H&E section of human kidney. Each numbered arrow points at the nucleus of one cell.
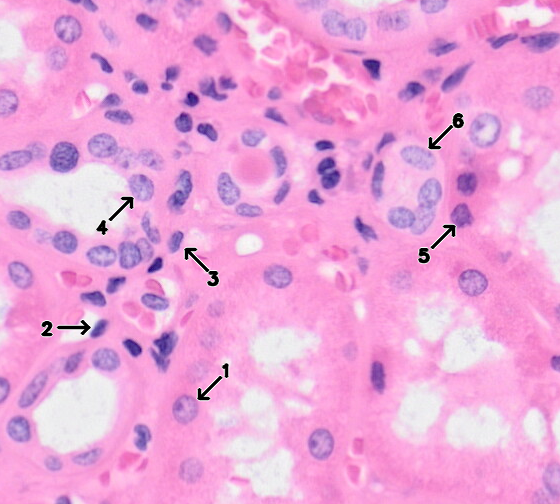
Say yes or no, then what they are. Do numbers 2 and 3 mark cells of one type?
Yes, cells 2 and 3 are both recognised as endothelial cells.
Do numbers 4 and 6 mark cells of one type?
Yes, cells 4 and 6 both qualify as collecting duct cells.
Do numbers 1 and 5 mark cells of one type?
Yes, in terms of cell type, cells 1 and 5 are both proximal tubule cells.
